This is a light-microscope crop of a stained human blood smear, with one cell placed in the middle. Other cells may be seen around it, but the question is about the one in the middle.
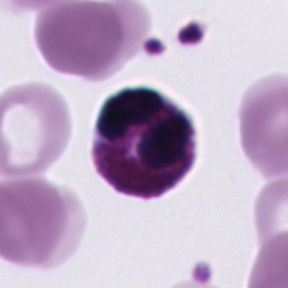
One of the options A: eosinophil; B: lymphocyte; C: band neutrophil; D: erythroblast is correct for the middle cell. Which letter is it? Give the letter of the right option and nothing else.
A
